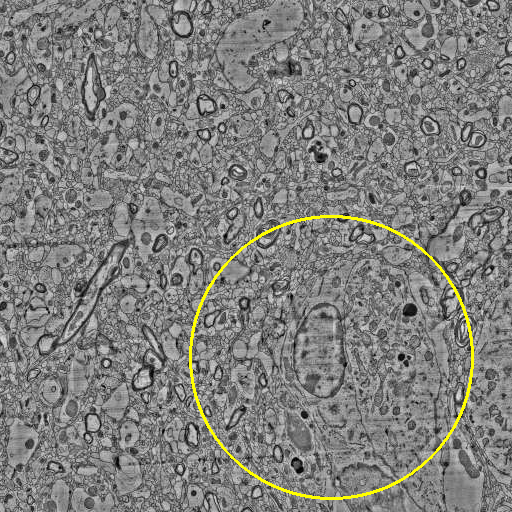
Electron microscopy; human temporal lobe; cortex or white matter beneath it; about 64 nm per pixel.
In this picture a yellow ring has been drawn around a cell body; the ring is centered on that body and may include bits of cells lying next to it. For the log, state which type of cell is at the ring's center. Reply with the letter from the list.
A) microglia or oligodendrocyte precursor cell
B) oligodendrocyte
A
